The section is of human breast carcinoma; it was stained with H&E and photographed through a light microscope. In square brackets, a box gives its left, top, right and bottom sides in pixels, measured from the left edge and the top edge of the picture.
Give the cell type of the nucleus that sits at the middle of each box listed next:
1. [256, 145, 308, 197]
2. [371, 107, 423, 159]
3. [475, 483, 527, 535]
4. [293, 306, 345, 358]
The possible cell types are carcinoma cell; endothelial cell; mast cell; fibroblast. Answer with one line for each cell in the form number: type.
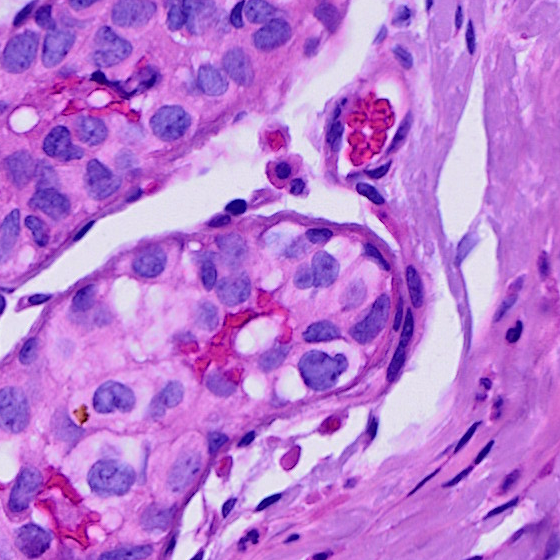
1: mast cell
2: endothelial cell
3: fibroblast
4: carcinoma cell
